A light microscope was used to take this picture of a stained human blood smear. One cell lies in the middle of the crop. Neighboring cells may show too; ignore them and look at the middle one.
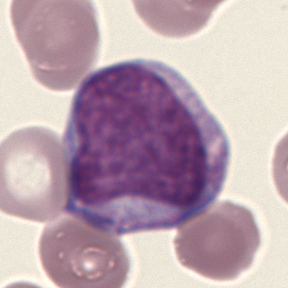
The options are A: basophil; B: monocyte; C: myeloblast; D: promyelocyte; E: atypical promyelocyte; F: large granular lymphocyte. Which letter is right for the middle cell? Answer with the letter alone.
E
